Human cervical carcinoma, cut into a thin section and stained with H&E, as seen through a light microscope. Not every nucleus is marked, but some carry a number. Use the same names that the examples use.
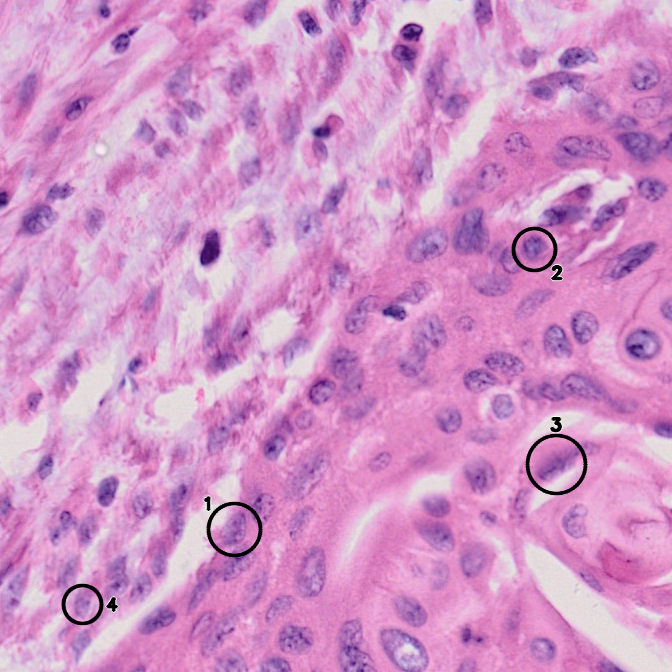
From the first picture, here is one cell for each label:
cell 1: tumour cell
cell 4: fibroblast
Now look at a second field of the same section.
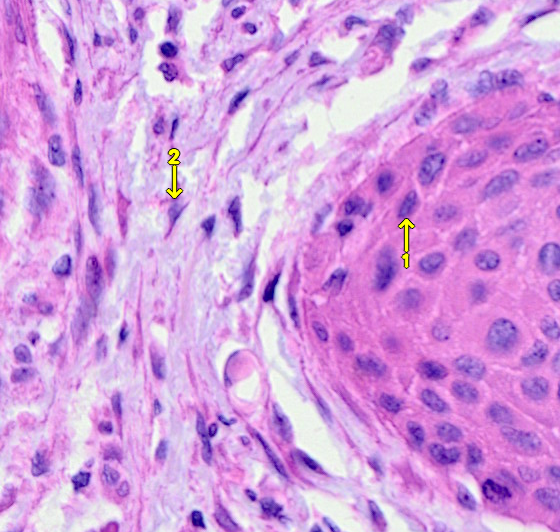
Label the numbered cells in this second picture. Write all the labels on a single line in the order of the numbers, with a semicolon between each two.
tumour cell; fibroblast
